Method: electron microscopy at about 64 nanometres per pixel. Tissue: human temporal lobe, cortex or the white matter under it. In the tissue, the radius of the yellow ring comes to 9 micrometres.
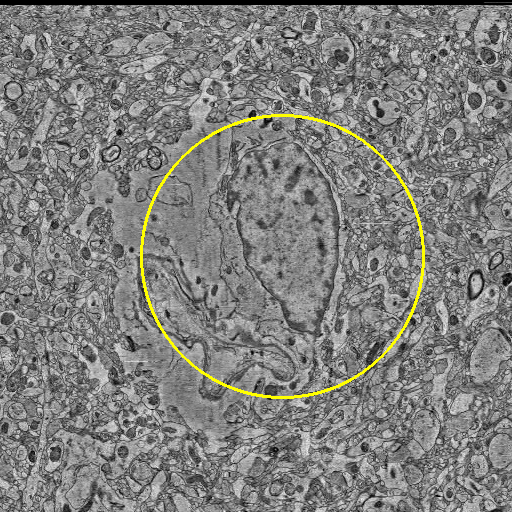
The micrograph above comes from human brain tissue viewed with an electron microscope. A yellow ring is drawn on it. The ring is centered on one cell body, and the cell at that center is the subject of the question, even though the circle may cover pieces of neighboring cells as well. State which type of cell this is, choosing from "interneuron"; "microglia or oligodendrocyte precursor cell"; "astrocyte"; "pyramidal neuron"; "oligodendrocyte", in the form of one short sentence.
The cell the ring is centered on is a microglial cell or oligodendrocyte precursor cell.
